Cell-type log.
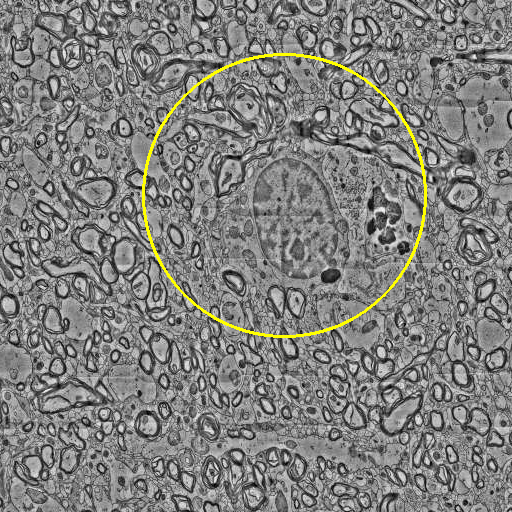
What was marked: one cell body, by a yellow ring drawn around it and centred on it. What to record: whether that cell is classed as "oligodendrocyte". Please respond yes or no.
Yes, the cell is classed that way.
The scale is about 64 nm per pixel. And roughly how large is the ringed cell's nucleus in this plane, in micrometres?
About 8 by 5 micrometres; in this plane the nucleus is clearly longer than it is wide.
